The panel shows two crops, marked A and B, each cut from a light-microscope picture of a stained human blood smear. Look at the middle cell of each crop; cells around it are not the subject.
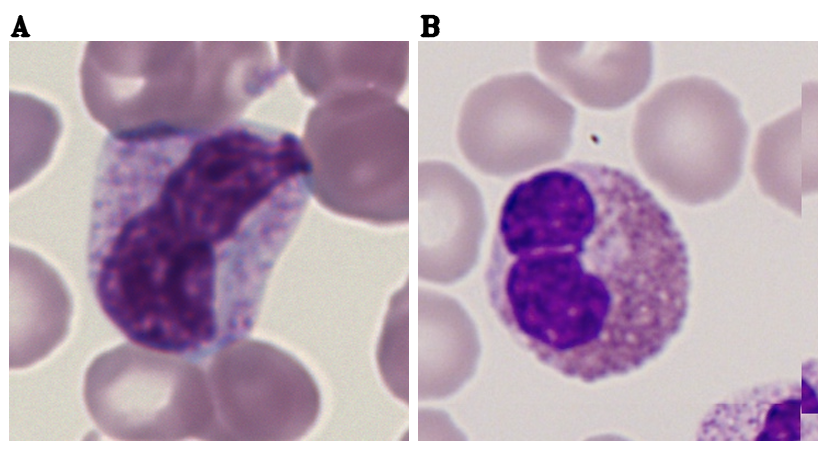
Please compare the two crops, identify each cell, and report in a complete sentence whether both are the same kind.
No, crop A captures a band neutrophil, and crop B captures an eosinophil.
